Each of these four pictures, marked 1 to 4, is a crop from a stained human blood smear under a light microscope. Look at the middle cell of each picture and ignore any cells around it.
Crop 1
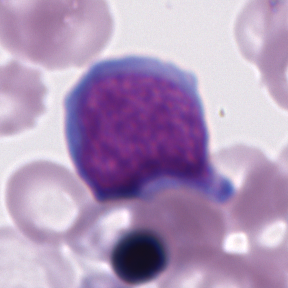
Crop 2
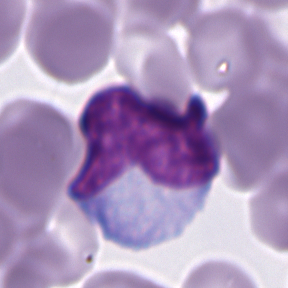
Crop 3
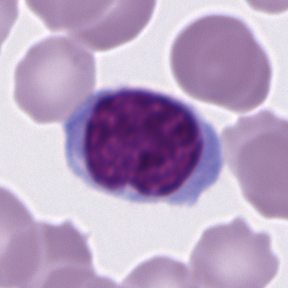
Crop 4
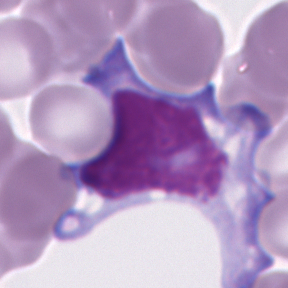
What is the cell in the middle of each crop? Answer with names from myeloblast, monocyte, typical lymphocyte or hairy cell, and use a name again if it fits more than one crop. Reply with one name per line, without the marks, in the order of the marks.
myeloblast
typical lymphocyte
typical lymphocyte
typical lymphocyte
